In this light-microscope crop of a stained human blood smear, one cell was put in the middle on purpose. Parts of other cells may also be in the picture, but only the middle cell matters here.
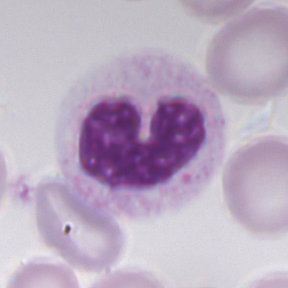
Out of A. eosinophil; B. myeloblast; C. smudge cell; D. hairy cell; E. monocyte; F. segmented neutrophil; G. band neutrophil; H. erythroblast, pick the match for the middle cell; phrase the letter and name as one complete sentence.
The centered cell is a band neutrophil, which is why option G is right.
